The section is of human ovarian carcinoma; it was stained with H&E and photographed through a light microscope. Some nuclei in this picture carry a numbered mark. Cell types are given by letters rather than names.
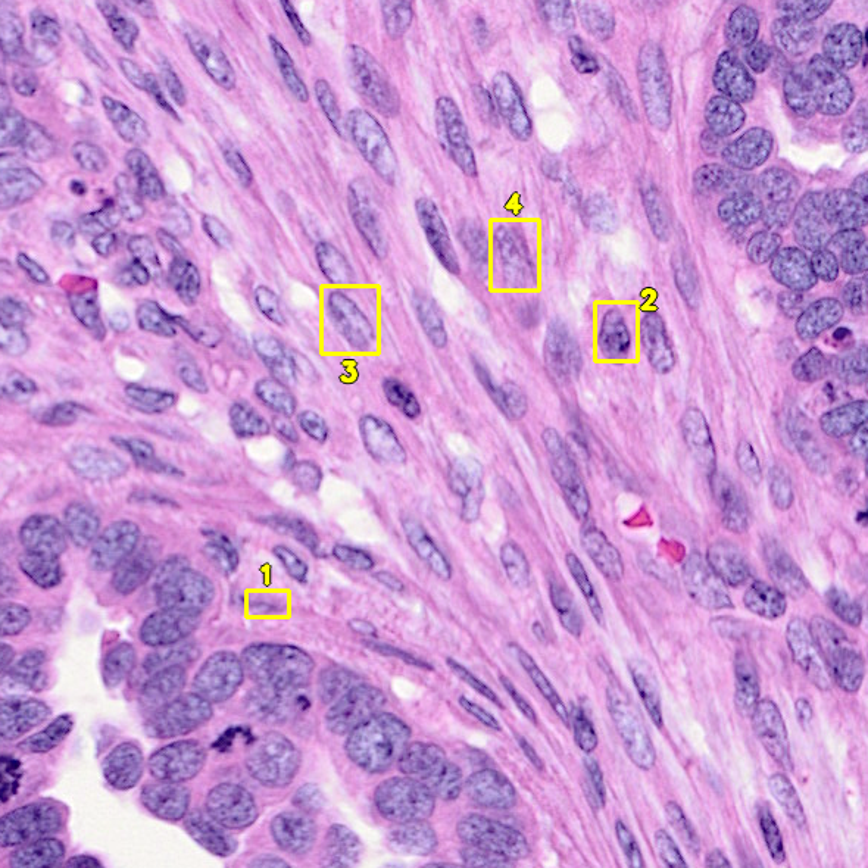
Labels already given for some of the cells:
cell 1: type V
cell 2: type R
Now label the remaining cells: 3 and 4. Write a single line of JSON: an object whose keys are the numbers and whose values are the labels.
{"3": "type V", "4": "type V"}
